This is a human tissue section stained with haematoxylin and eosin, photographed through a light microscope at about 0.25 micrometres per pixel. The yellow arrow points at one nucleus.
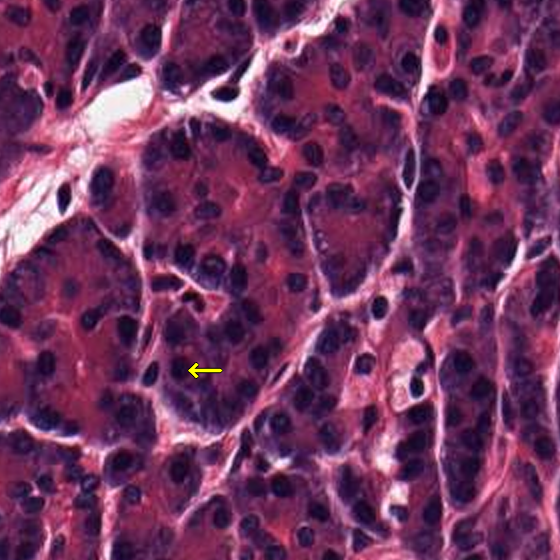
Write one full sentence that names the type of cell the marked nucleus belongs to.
The marked nucleus is seen to belong to a pancreatic acinar cell.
